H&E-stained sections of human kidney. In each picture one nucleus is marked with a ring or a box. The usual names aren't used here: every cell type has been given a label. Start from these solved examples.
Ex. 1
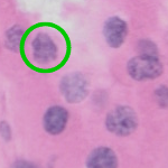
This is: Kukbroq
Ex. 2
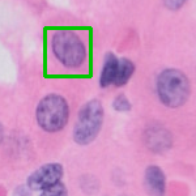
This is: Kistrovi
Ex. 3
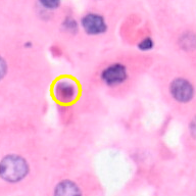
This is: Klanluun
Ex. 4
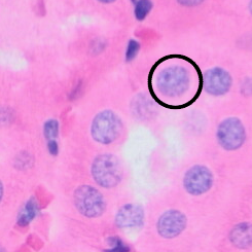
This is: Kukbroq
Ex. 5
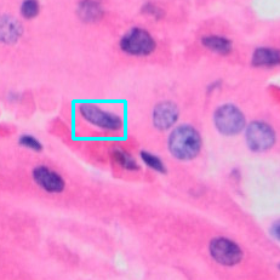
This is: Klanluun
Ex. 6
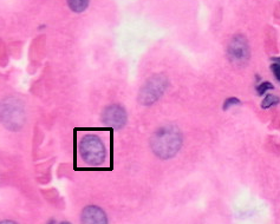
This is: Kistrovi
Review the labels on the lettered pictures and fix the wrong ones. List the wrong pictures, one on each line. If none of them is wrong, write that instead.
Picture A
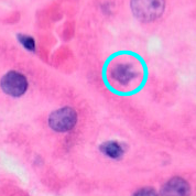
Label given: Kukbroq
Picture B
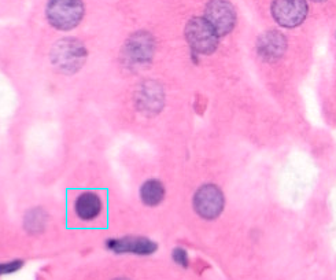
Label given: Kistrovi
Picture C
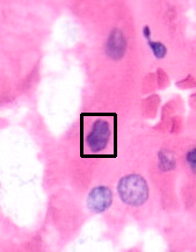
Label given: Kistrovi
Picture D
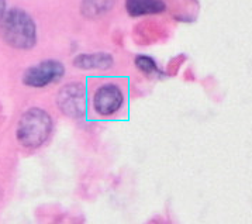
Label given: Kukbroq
Wrong: A (Kukbroq); correct: Kistrovi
